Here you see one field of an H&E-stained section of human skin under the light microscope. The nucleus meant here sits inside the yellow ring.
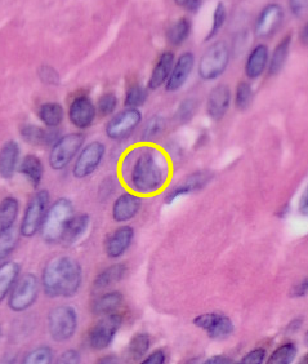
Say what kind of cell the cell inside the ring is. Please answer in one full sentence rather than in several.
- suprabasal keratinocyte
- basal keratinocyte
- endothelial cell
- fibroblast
In the stained section, the cell inside the ring is a basal keratinocyte.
